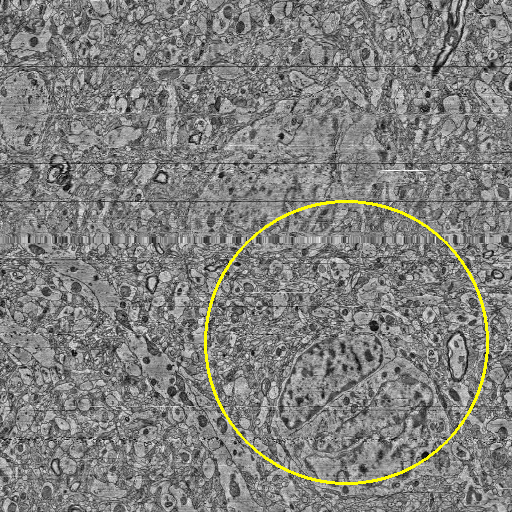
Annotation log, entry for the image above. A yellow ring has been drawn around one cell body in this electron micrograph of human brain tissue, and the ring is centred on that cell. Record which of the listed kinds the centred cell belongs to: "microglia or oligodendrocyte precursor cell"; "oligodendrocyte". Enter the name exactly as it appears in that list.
microglia or oligodendrocyte precursor cell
